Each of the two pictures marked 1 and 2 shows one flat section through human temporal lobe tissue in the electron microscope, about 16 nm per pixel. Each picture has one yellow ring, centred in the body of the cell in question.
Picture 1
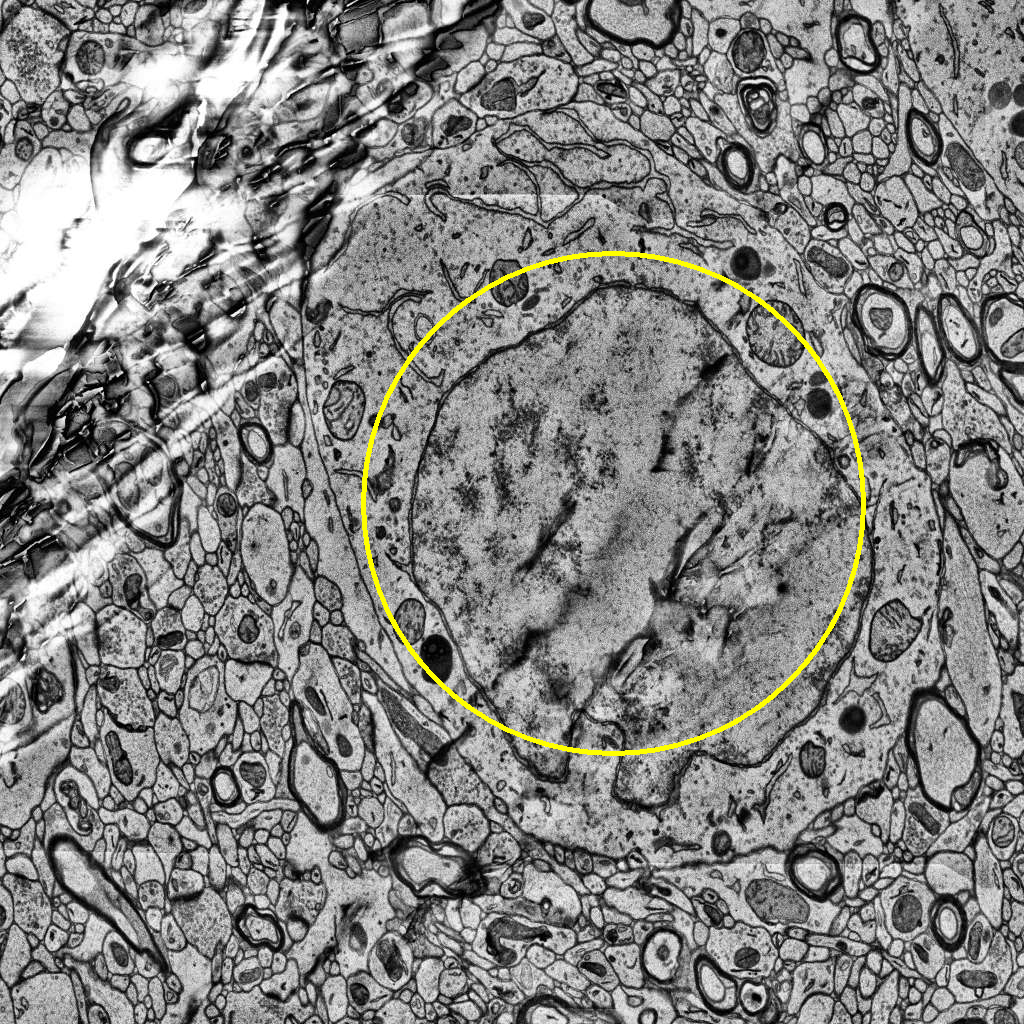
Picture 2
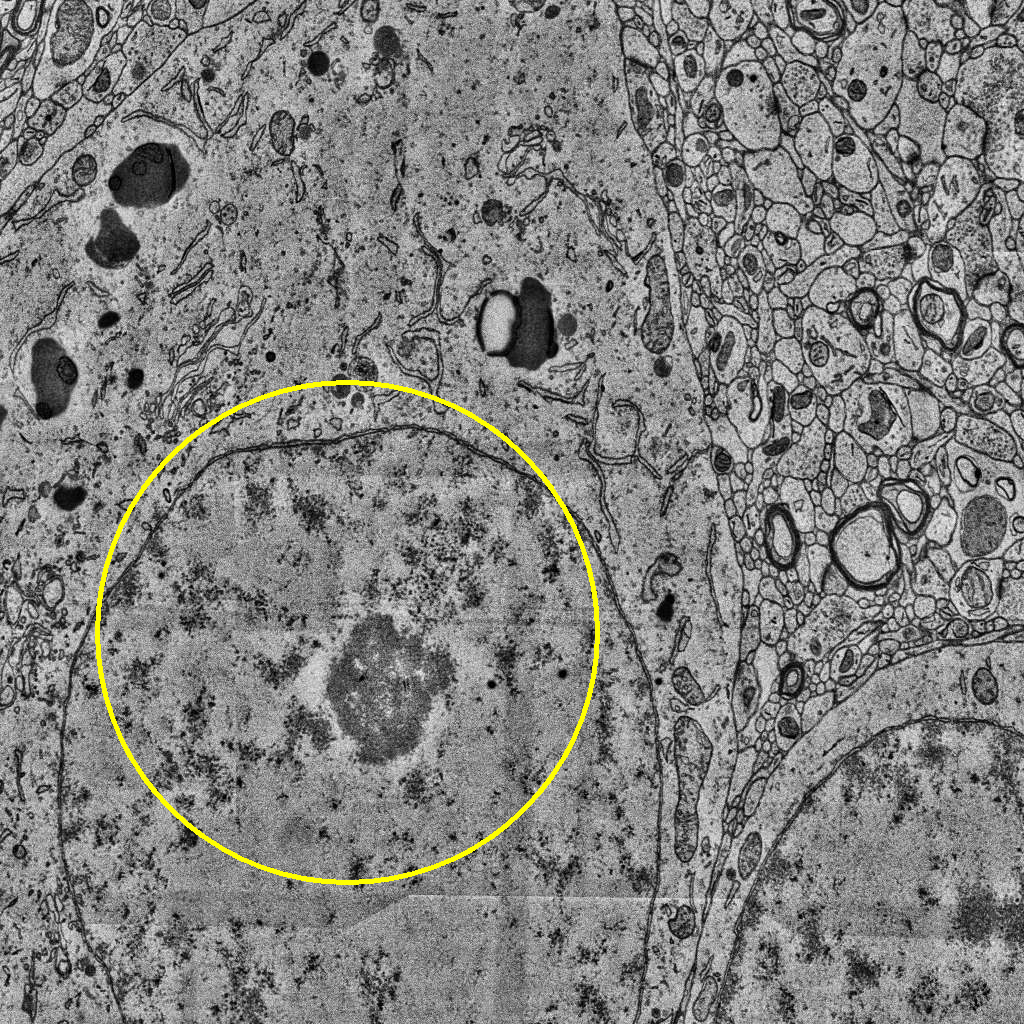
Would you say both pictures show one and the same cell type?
Yes, the two pictures both show pyramidal neurons.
